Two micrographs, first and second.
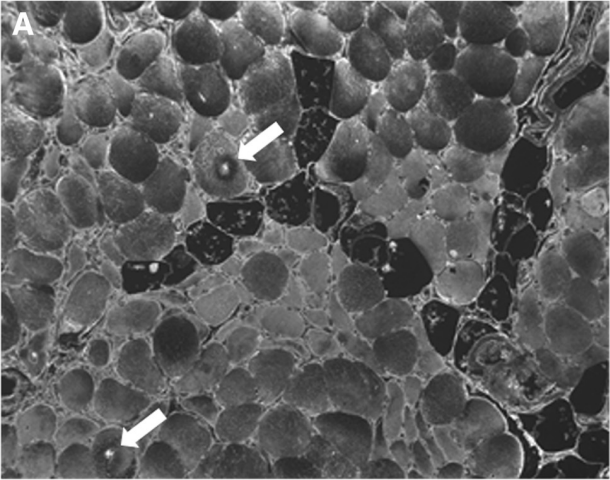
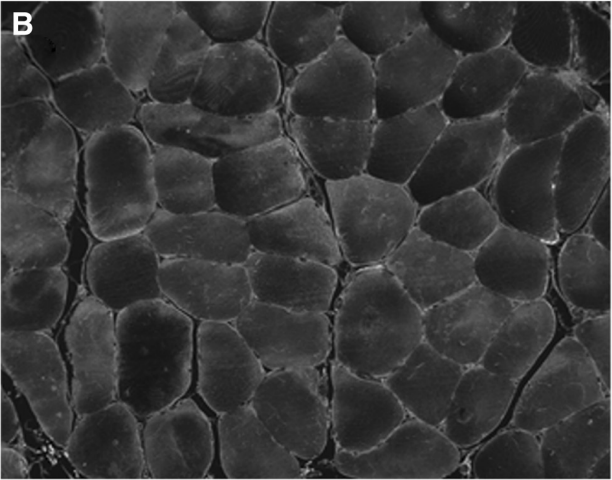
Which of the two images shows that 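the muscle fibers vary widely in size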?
The first image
